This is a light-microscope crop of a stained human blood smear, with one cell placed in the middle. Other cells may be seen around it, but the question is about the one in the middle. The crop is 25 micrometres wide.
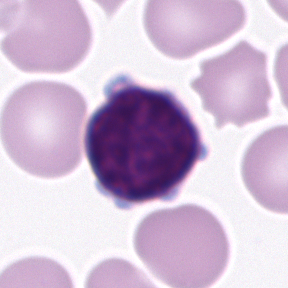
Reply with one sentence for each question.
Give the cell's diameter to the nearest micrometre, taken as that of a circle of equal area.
It measures about 11 micrometres across.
